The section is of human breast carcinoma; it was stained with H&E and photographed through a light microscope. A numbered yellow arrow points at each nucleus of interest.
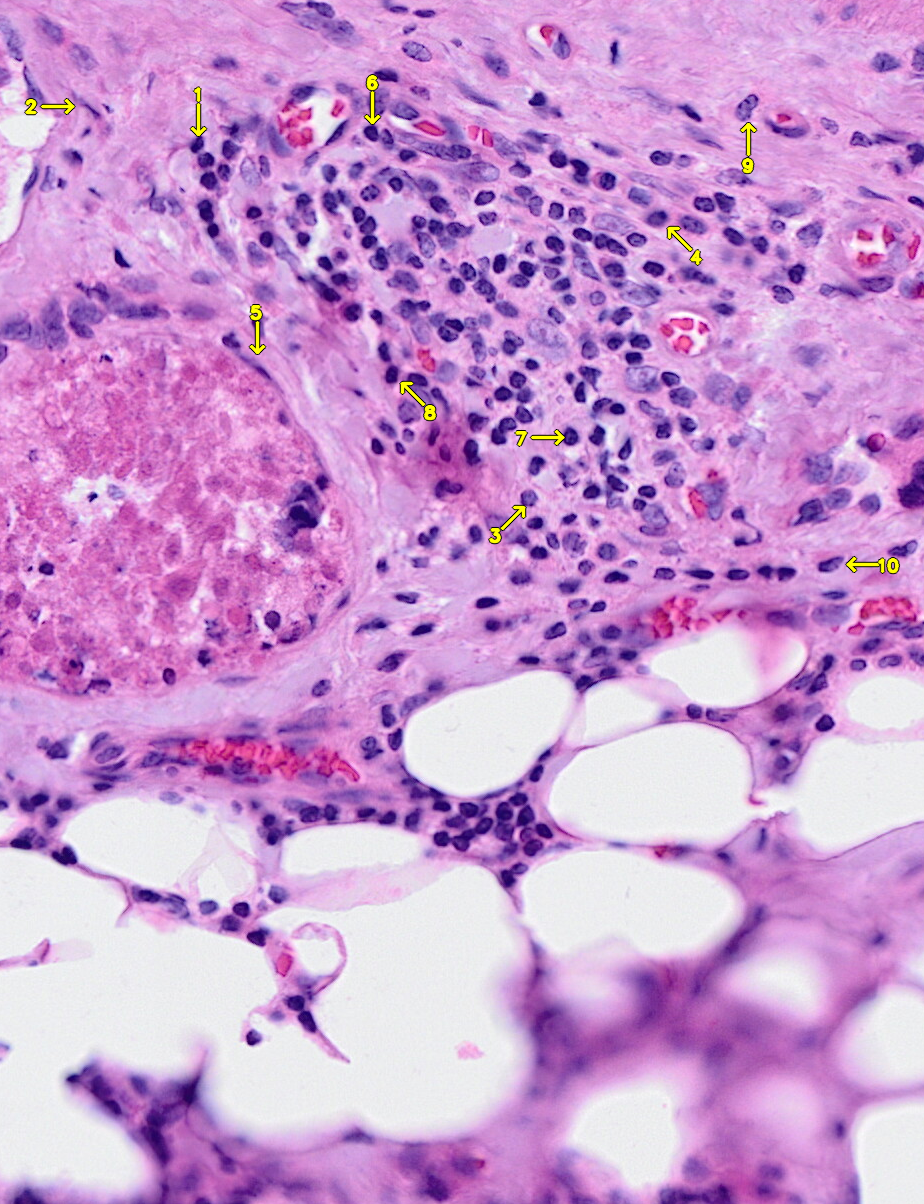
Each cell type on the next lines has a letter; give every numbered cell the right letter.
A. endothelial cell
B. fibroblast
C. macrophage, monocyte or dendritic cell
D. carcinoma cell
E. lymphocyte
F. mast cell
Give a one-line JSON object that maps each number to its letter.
{"1": "E", "2": "B", "3": "E", "4": "E", "5": "B", "6": "E", "7": "E", "8": "E", "9": "F", "10": "F"}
